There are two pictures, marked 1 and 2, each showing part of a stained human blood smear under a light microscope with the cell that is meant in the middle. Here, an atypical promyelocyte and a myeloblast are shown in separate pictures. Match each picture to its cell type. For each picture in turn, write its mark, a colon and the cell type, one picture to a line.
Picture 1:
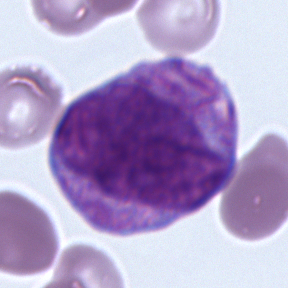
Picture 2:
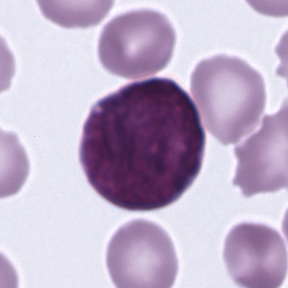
1: atypical promyelocyte
2: myeloblast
